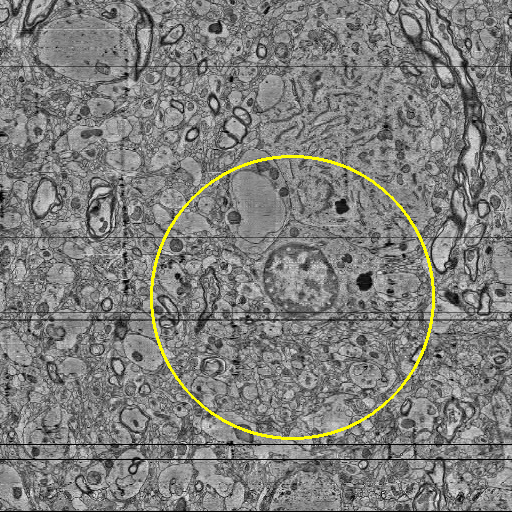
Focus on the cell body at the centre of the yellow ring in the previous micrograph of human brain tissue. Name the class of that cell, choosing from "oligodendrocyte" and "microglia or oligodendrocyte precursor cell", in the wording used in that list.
oligodendrocyte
